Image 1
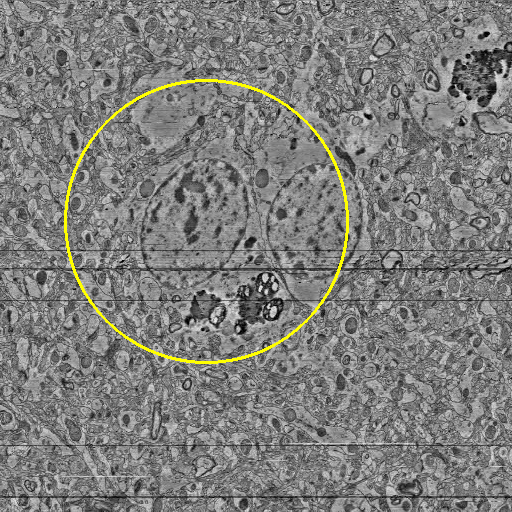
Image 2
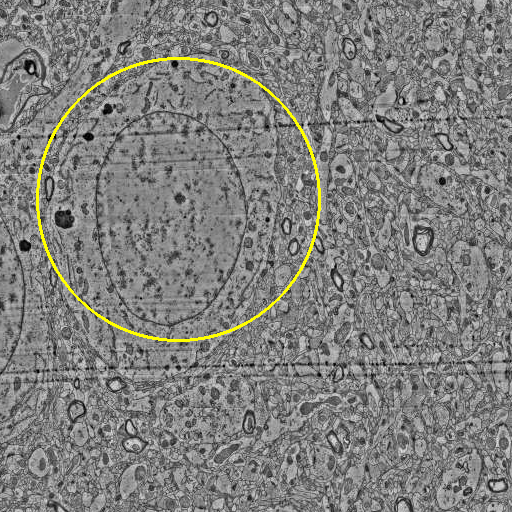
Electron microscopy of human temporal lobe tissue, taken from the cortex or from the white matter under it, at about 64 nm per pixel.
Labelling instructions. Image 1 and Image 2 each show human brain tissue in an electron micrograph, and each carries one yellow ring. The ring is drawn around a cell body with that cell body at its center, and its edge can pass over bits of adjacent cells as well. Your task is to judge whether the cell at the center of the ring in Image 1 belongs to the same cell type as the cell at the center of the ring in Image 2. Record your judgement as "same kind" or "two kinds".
two kinds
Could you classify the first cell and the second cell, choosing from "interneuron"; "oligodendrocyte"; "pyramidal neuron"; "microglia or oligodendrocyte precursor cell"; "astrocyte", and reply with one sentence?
The second cell is a pyramidal neuron, while the first is an astrocyte.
